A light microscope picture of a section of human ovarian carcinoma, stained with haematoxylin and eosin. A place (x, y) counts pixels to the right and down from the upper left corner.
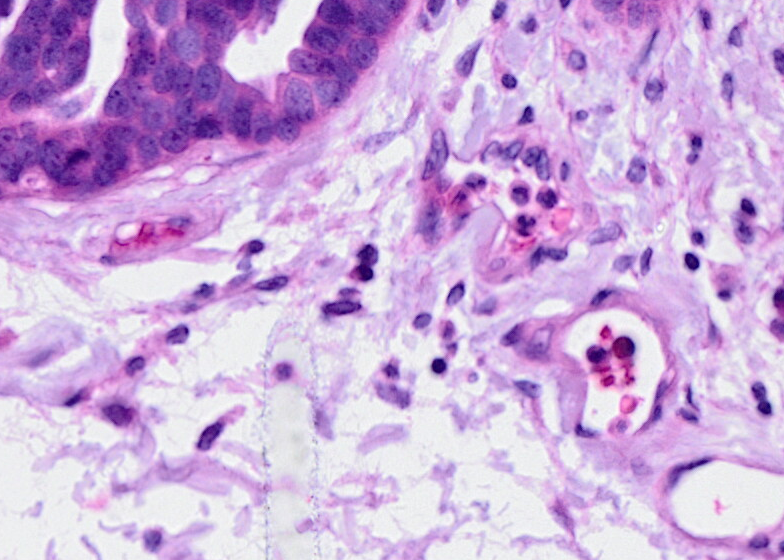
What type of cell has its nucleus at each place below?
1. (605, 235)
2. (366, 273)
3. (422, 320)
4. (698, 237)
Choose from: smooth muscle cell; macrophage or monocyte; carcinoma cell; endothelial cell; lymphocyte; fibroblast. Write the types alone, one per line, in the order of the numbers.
fibroblast
lymphocyte
lymphocyte
lymphocyte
